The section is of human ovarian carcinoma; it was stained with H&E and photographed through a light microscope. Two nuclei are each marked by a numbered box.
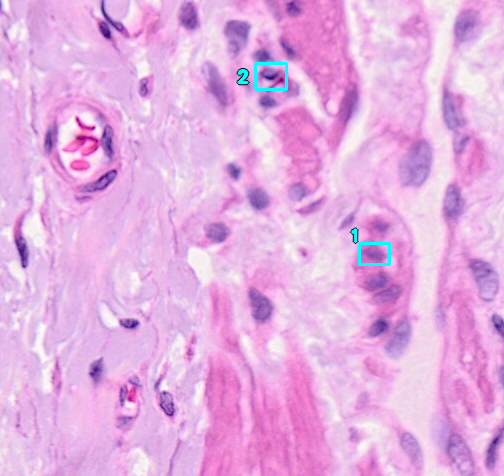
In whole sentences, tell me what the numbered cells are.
Cell 1 is a smooth muscle cell. Cell 2 is an endothelial cell.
